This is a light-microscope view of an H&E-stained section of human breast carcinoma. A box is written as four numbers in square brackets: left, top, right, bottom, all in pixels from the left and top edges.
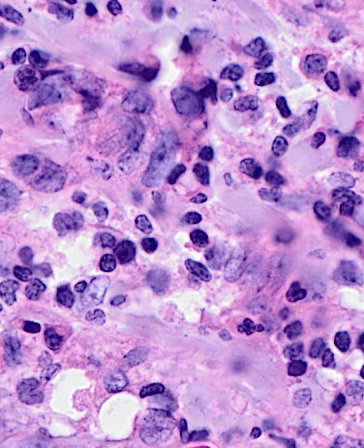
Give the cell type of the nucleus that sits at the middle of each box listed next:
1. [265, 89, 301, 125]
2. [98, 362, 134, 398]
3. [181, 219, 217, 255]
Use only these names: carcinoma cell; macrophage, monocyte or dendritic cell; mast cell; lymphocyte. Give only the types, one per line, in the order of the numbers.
lymphocyte
macrophage, monocyte or dendritic cell
lymphocyte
